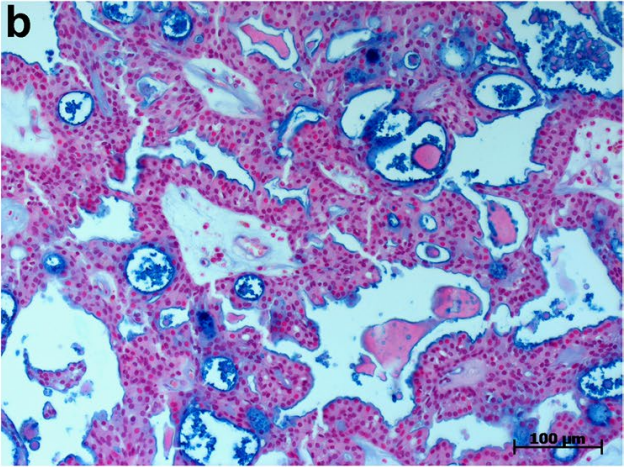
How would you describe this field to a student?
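Tumour cells with pink cytoplasm form branching cords and sheets around irregular spaces. Several of the spaces hold blue-staining material, some with pink homogeneous content.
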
